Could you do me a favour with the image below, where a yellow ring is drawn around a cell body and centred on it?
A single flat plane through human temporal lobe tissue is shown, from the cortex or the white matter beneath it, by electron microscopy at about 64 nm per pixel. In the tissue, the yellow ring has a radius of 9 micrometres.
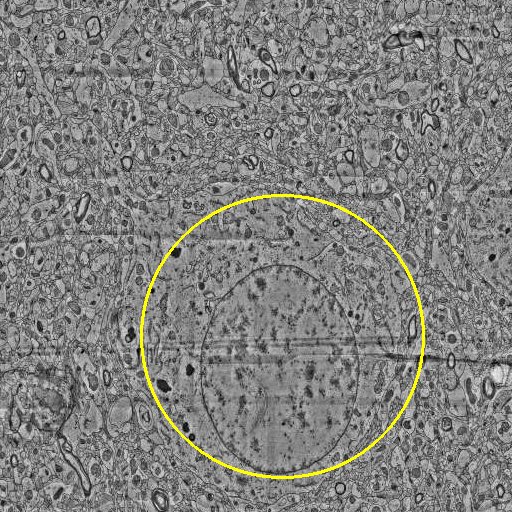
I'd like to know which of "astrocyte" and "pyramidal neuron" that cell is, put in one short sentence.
The cell at the ring's centre is a pyramidal neuron.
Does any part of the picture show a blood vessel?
No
